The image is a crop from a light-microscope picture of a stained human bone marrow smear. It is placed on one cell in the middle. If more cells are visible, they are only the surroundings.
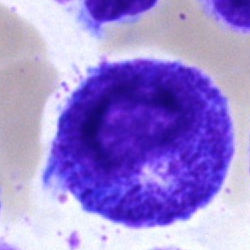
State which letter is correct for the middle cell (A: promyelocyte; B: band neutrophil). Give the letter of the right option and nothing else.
A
